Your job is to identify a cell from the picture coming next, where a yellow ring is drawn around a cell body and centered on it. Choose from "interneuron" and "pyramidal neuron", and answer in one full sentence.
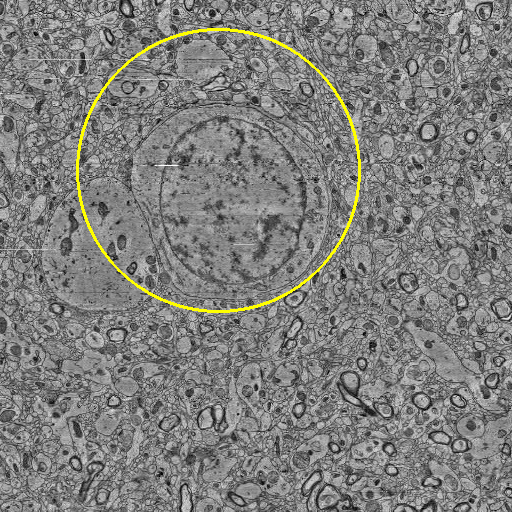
Centered in the yellow ring of the picture is the body of an interneuron.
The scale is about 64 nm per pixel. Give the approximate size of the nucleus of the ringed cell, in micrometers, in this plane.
Roughly 11 by 9 micrometres in this plane, for the nucleus of the ringed cell.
